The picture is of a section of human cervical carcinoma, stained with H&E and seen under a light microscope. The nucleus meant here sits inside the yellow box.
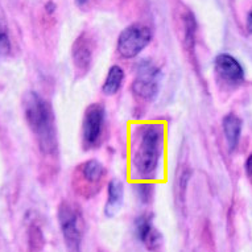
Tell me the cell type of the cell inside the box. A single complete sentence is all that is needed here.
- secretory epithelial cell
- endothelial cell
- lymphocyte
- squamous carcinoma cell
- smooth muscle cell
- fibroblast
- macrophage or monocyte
As a matter of cell type, the cell inside the box is a macrophage or monocyte.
